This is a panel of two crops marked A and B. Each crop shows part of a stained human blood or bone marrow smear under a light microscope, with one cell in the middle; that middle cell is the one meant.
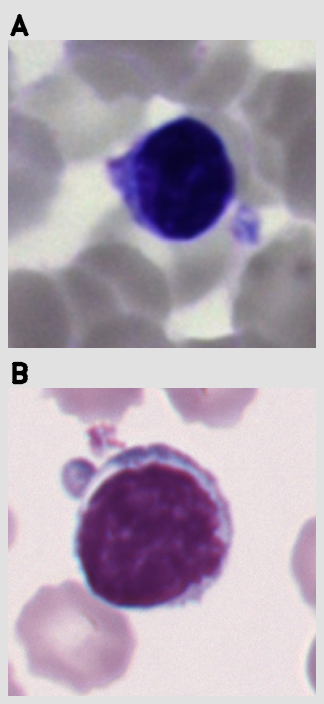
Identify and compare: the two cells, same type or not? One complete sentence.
Yes, with regard to both crops, the central cells are lymphocytes.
